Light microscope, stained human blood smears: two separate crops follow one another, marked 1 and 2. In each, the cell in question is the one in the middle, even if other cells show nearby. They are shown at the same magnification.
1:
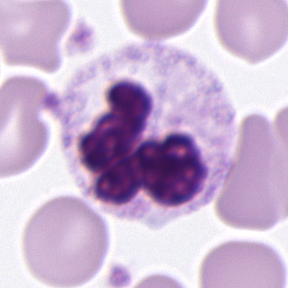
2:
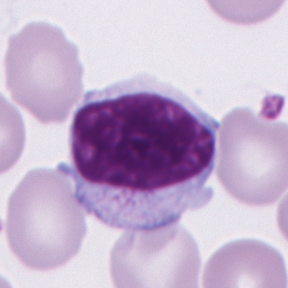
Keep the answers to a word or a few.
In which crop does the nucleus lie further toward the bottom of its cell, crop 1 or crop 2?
1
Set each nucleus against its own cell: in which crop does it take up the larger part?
2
